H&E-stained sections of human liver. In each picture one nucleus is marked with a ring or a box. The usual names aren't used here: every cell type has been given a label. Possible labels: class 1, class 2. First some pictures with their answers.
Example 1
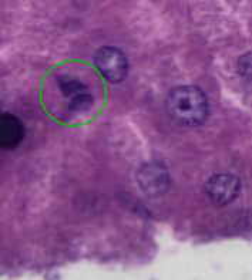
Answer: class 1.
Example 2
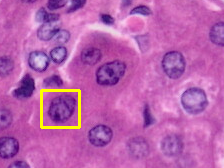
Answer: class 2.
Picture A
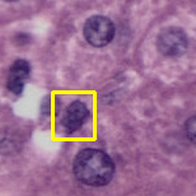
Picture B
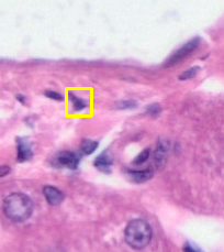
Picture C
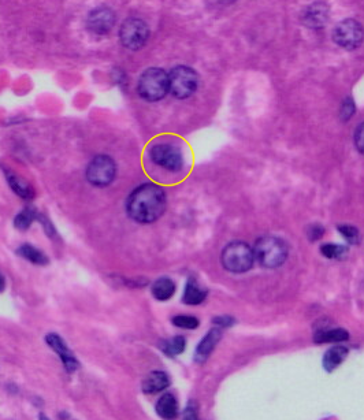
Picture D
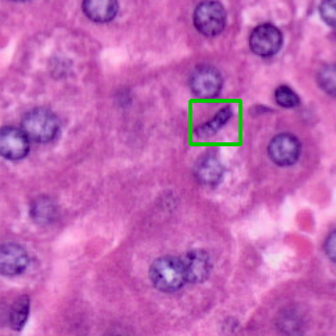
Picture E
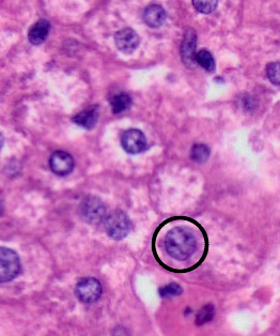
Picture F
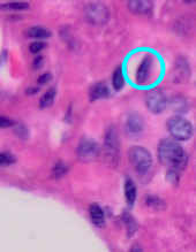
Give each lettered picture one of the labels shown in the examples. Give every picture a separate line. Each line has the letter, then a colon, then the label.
A: class 1.
B: class 1.
C: class 1.
D: class 1.
E: class 2.
F: class 1.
